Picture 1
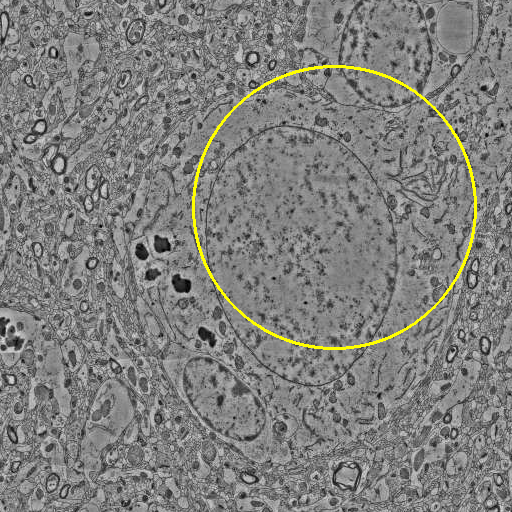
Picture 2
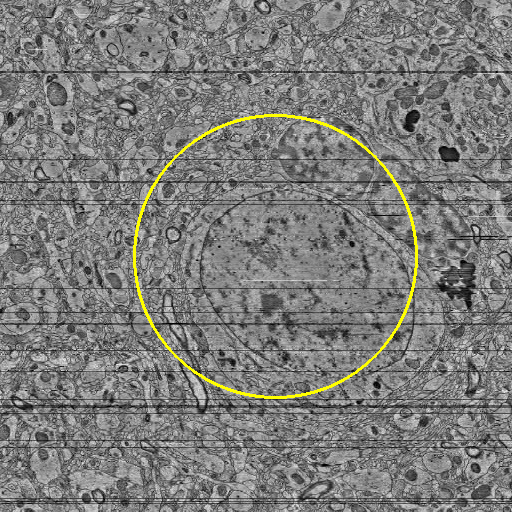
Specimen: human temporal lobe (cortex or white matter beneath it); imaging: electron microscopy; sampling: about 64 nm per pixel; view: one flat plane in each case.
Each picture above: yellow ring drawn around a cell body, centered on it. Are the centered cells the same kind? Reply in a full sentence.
Yes, the two cells are the same kind.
